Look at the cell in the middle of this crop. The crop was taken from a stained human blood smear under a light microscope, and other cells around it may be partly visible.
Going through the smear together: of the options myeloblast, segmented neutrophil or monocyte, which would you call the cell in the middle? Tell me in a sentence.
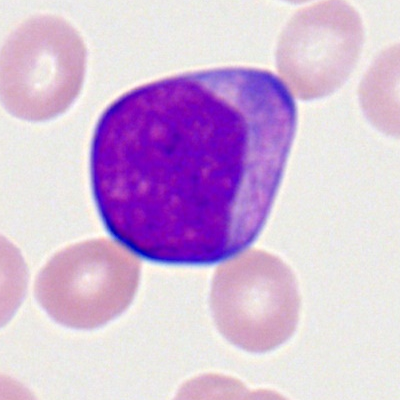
The middle of this crop is occupied by a myeloblast.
